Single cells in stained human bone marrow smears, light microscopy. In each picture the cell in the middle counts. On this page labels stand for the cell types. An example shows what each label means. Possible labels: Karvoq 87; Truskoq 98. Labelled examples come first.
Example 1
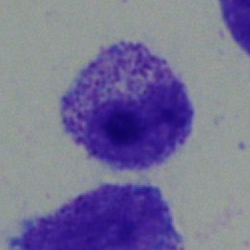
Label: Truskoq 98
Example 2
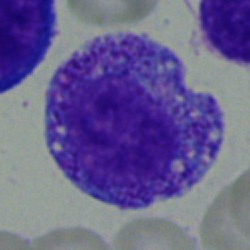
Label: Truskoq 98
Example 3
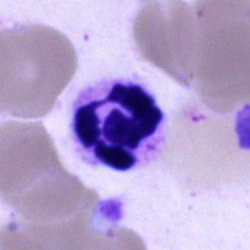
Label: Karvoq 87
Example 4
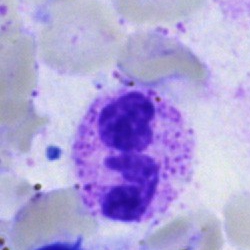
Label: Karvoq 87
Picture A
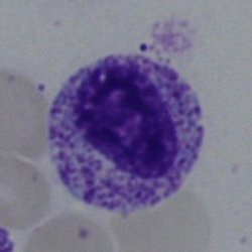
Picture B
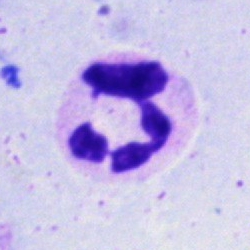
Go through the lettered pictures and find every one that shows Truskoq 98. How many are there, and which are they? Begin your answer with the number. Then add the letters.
Count: 1 (A)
